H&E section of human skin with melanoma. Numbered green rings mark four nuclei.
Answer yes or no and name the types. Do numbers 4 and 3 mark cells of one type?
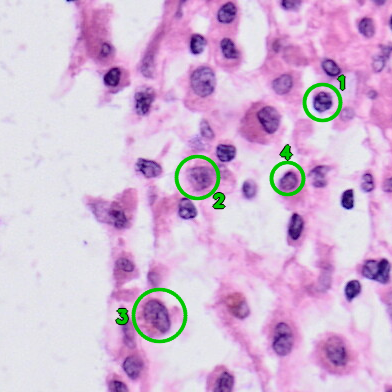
Yes, sure, cells 4 and 3 are both macrophages or monocytes.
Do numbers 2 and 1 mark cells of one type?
No, cell 2 is a macrophage or monocyte, while cell 1 is a lymphocyte.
